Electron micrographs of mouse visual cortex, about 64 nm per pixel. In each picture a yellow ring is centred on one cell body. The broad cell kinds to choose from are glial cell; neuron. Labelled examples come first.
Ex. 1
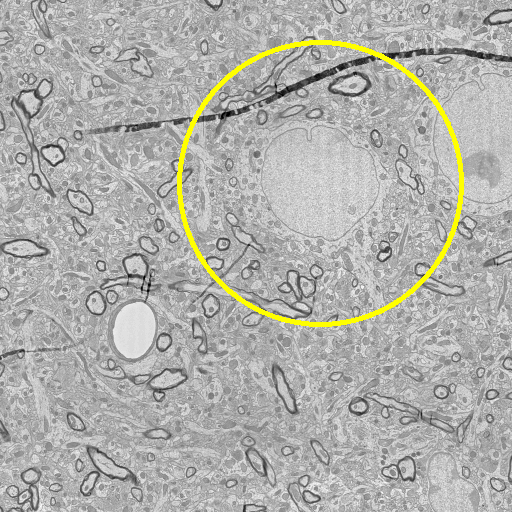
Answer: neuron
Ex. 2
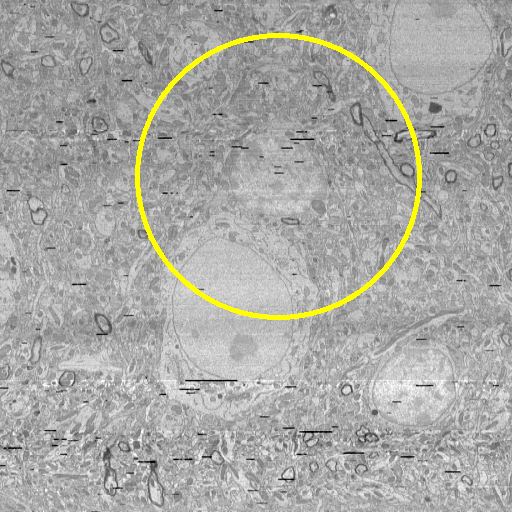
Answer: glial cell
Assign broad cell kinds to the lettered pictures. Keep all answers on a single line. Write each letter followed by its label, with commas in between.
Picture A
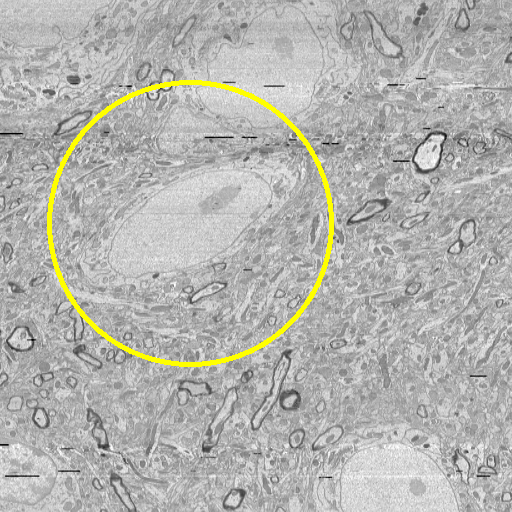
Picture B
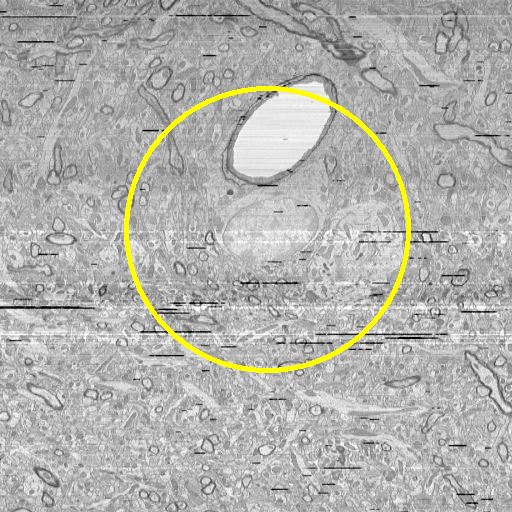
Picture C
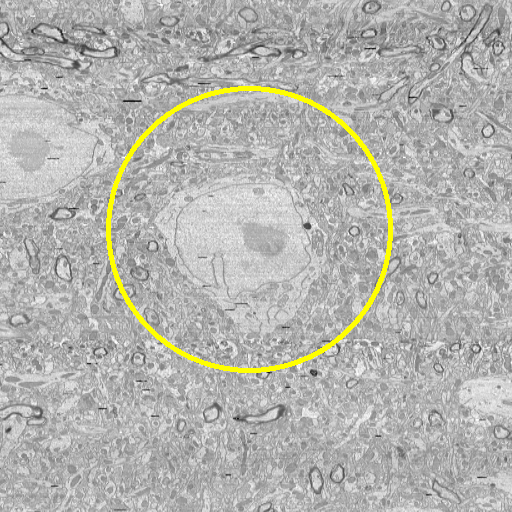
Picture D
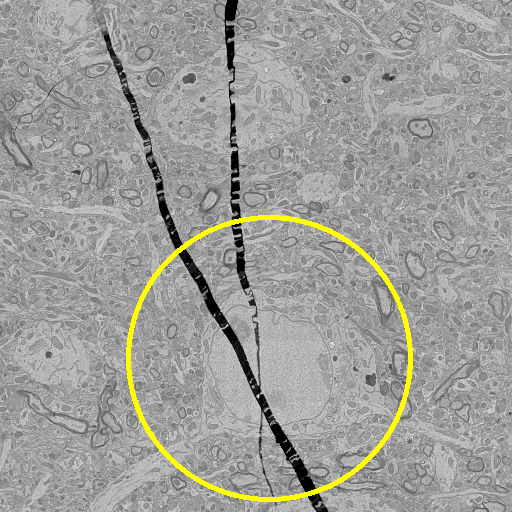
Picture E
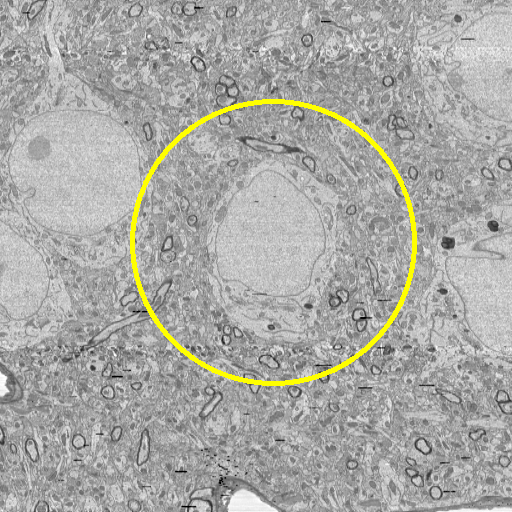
A neuron, B glial cell, C neuron, D neuron, E neuron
